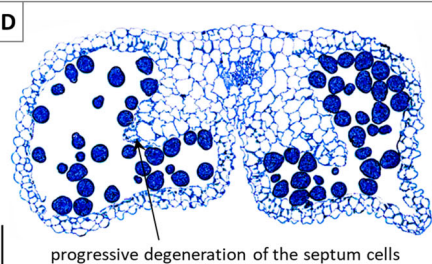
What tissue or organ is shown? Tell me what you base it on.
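A lobed section with two large chambers holding many dark blue round grains. The chambers are bounded by a thin wall a few cells thick. A central block of parenchyma joins the two halves.
Hence: anthers.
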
